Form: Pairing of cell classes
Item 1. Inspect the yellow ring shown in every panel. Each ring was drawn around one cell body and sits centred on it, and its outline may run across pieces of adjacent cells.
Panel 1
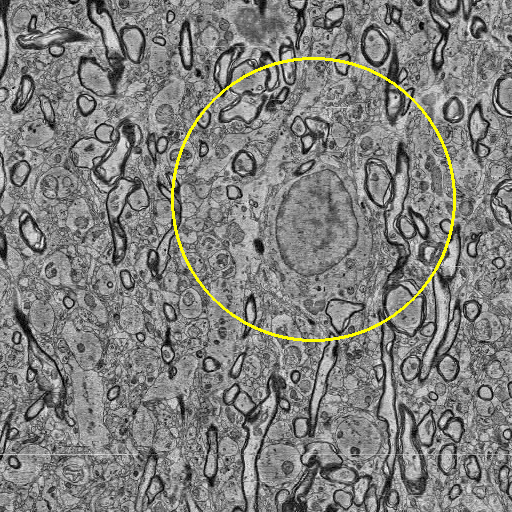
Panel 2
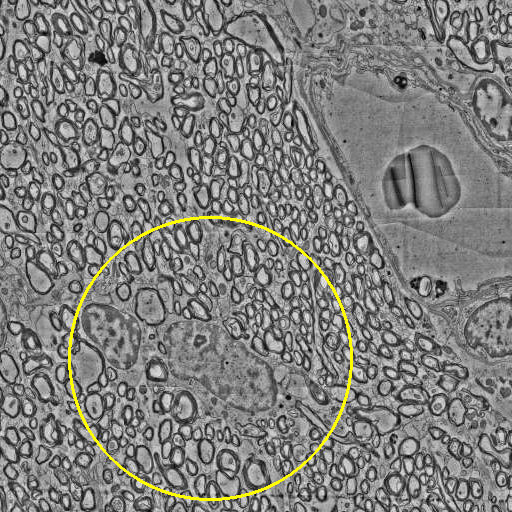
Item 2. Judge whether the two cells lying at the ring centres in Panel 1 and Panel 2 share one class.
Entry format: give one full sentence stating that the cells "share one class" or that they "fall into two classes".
The cells at the ring centres in Panel 1 and Panel 2 share one class.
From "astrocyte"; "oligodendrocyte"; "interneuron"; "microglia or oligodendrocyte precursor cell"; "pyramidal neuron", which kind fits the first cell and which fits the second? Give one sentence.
The cell at the ring centre is an oligodendrocyte in both pictures.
